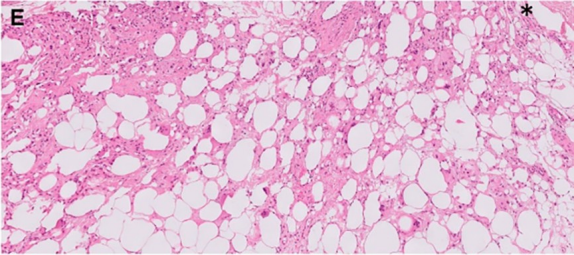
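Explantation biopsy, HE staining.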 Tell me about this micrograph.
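Fatty tissue with a cellular reaction. Many clear, rounded fat vacuoles of varying size are set in pink tissue that is more cellular than a normal thin septum, with scattered small purple nuclei throughout. At the upper left and along the top the tissue becomes denser, with pink fibrous-looking stroma and crowded nuclei between fewer fat vacuoles. The overall picture is of fat lobules infiltrated and partly replaced by reactive cellular tissue.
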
